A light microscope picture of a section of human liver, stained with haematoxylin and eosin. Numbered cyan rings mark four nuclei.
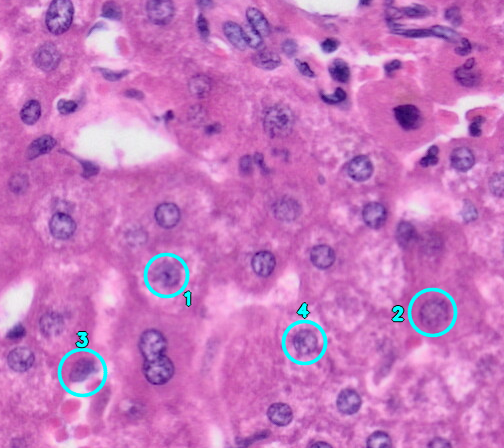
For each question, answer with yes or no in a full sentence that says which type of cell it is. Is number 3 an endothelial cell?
Yes, the marked cell with number 3 is an endothelial cell.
